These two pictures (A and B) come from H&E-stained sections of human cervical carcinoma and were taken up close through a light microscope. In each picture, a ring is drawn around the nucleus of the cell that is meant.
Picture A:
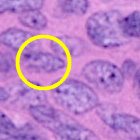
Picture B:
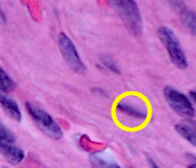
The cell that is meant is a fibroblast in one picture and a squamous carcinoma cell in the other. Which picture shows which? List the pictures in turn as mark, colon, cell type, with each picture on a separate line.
A: squamous carcinoma cell
B: fibroblast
